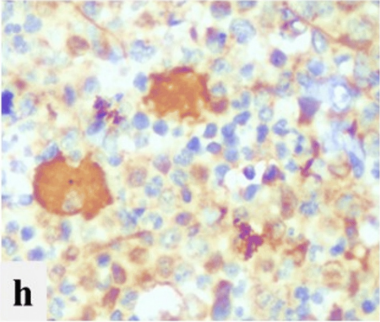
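Densely cellular marrow-like tissue with two large megakaryocytes among many small round cells. The megakaryocytes are many times larger than their neighbours, with abundant cytoplasm stained strongly orange-brown and irregular outlines. The surrounding small cells have round blue nuclei and little cytoplasm, set in a paler orange-brown stained background.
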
